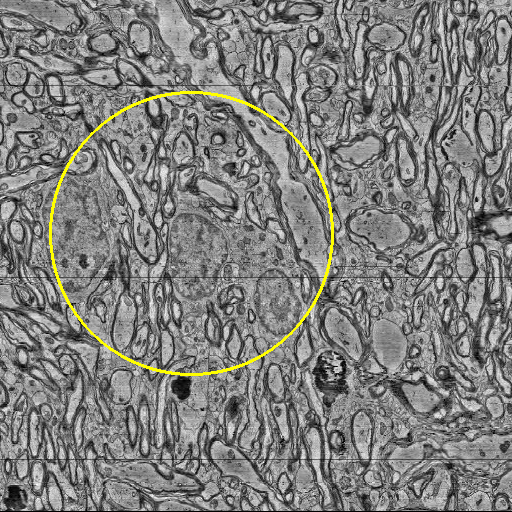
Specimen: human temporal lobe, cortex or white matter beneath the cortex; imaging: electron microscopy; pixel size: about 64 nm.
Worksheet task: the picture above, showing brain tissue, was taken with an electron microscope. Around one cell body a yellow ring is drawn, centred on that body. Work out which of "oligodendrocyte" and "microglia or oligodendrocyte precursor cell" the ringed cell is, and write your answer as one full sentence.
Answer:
It is an oligodendrocyte whose cell body lies at the centre of the yellow ring.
